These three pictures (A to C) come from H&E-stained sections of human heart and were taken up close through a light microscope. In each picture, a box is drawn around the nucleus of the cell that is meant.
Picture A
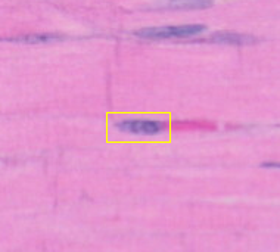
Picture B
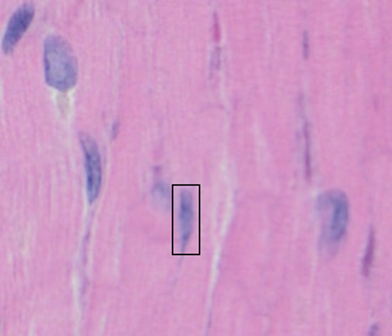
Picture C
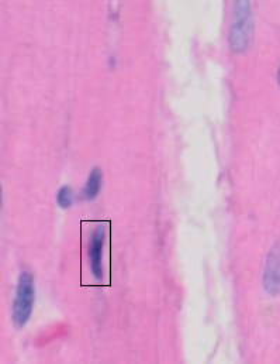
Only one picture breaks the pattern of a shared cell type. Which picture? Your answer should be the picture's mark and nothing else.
B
